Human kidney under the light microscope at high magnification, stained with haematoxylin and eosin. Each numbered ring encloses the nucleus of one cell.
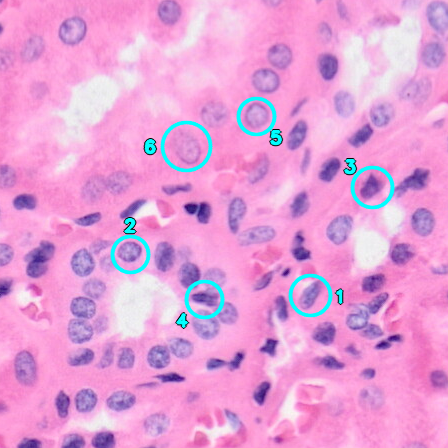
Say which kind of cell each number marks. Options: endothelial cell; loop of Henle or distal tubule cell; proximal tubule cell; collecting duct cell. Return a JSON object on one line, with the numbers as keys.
{"1": "endothelial cell", "2": "collecting duct cell", "3": "loop of Henle or distal tubule cell", "4": "collecting duct cell", "5": "proximal tubule cell", "6": "proximal tubule cell"}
